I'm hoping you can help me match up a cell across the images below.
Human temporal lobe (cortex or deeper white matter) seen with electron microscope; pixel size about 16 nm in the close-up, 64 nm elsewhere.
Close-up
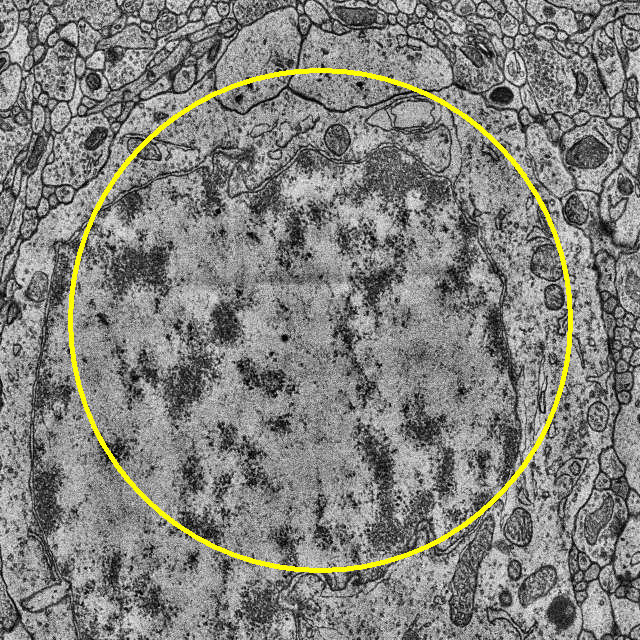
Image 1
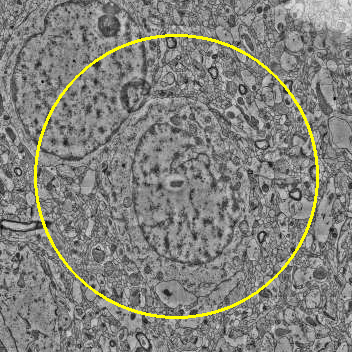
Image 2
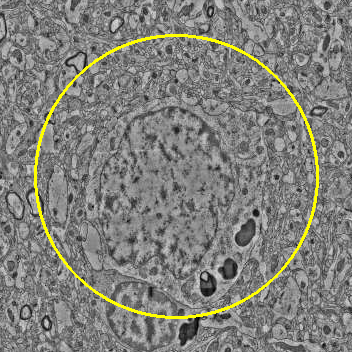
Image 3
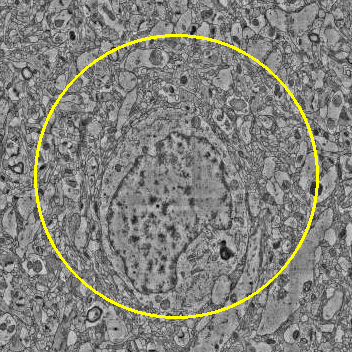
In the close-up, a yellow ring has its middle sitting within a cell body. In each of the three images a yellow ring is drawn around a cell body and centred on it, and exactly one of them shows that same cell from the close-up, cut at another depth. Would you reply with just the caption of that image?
Image 2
